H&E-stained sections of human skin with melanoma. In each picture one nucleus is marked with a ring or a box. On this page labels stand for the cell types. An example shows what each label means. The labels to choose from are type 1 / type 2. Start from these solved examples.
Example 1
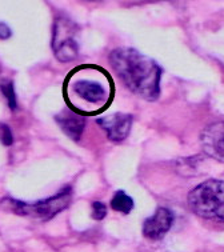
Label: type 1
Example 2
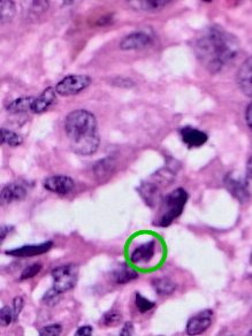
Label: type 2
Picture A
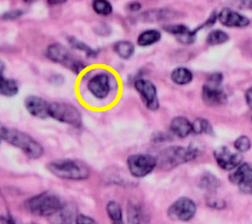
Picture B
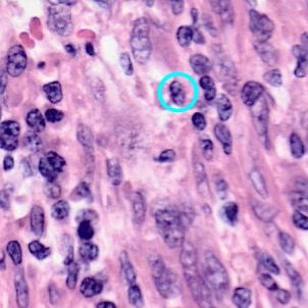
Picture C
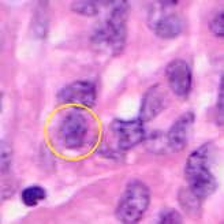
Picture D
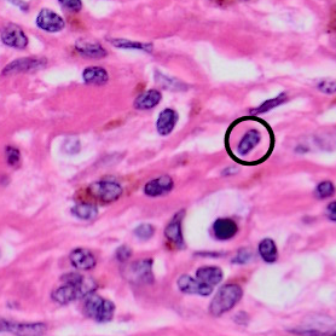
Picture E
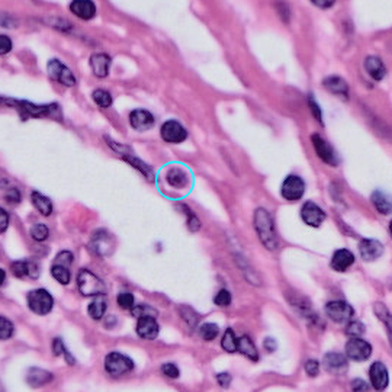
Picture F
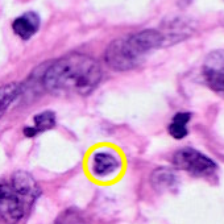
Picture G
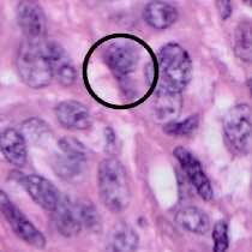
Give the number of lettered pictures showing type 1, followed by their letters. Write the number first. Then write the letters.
Count: 5 (A, B, D, E, F)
